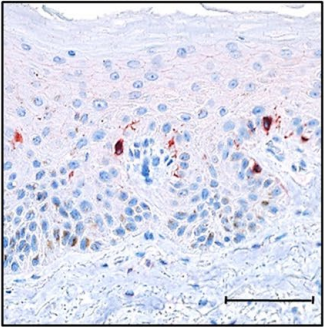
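The surrounding keratinocytes have round to oval blue nuclei and pale cytoplasm, flattening toward the surface under a thin cornified layer. Fine brown granules are visible in the cytoplasm of some basal keratinocytes. The dermis at the bottom is pale and loosely fibrous.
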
